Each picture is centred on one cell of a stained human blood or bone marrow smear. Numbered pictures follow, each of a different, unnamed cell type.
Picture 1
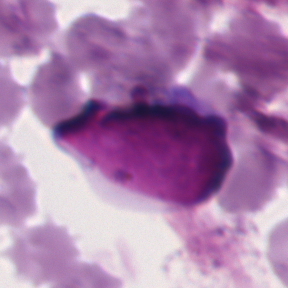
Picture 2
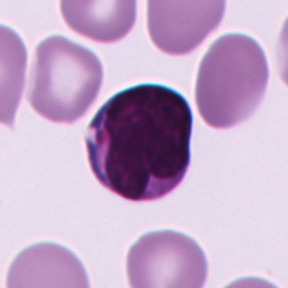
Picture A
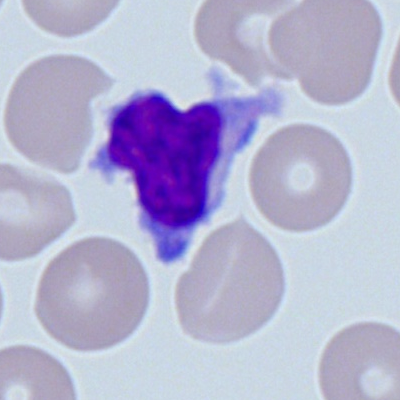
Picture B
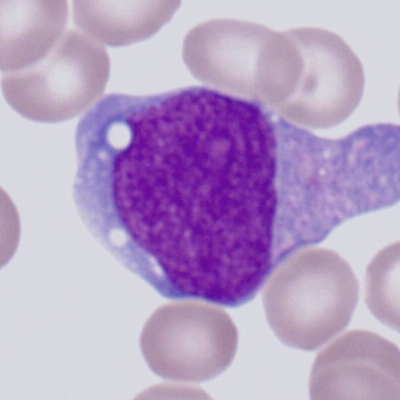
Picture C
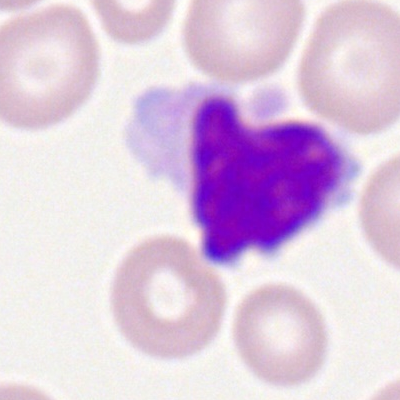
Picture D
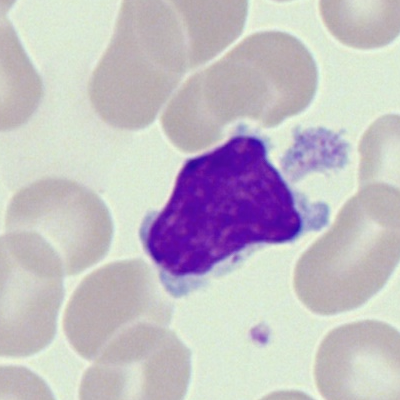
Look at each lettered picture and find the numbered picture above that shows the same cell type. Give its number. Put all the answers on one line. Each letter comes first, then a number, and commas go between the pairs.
A 2, B 1, C 2, D 2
